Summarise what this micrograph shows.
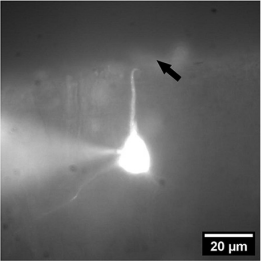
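A single neuron filled with fluorescent dye shines brightly against a grey tissue background, with a recording pipette reaching its soma from the left. A single thick apical dendrite rises upward from the soma and ends abruptly at a faint horizontal line across the tissue. Thin, fainter processes leave the lower part of the soma.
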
